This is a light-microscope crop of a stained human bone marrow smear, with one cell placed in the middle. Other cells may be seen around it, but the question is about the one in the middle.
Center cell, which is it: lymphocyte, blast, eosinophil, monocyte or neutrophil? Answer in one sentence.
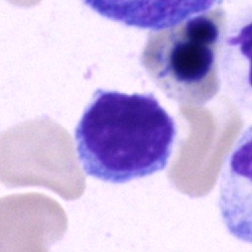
Centred in the crop is a lymphocyte.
